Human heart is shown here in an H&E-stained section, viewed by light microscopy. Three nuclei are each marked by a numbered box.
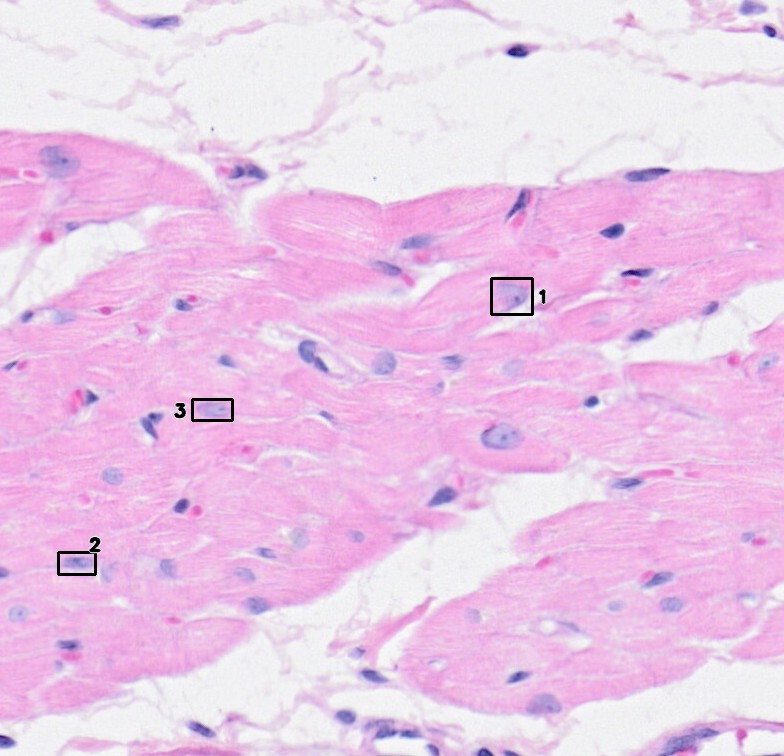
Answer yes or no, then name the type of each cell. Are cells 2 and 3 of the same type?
No, cell 2 is an endothelial cell and cell 3 is a cardiomyocyte.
